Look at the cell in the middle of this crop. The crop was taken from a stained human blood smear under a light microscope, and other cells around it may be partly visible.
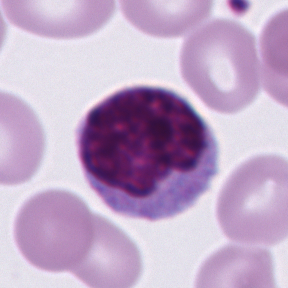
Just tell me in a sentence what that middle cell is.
The cell at the central position in this crop is a large granular lymphocyte.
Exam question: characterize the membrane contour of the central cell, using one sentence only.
The edge of the cell is unbroken and smooth, bearing no projections.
